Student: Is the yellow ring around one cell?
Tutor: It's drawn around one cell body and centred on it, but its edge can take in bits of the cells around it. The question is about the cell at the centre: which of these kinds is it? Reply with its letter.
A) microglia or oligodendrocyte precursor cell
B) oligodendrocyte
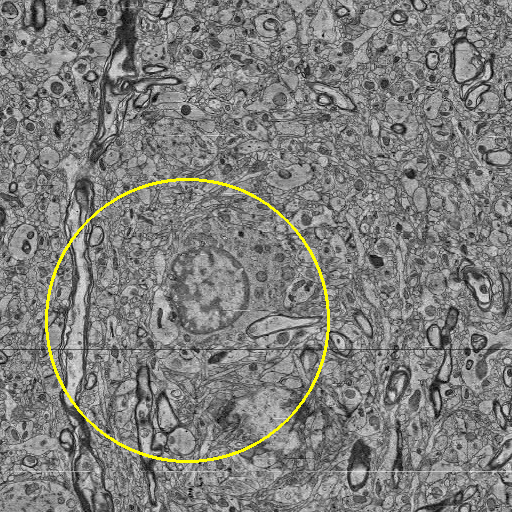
B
